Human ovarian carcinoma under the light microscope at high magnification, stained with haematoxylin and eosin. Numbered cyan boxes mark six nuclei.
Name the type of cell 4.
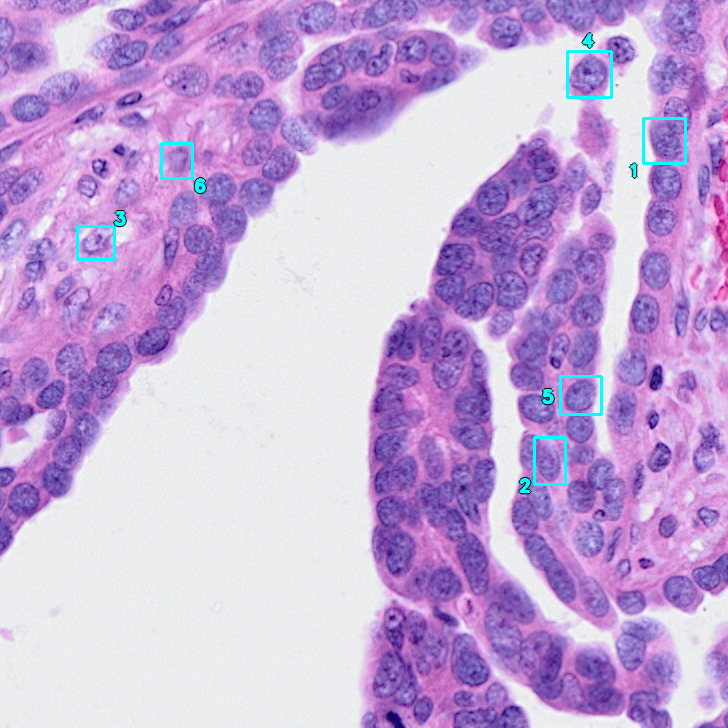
carcinoma cell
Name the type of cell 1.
carcinoma cell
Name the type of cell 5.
carcinoma cell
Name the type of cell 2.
carcinoma cell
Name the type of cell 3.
fibroblast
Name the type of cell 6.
fibroblast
